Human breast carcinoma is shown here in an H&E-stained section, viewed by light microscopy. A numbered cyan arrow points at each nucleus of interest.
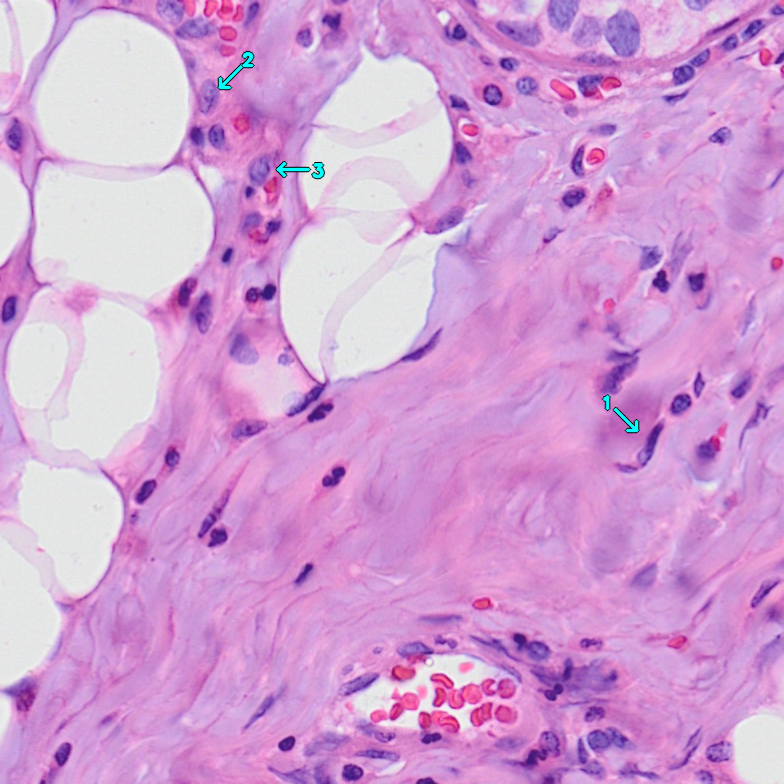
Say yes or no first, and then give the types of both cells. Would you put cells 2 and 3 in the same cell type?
Yes, both are endothelial cells.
